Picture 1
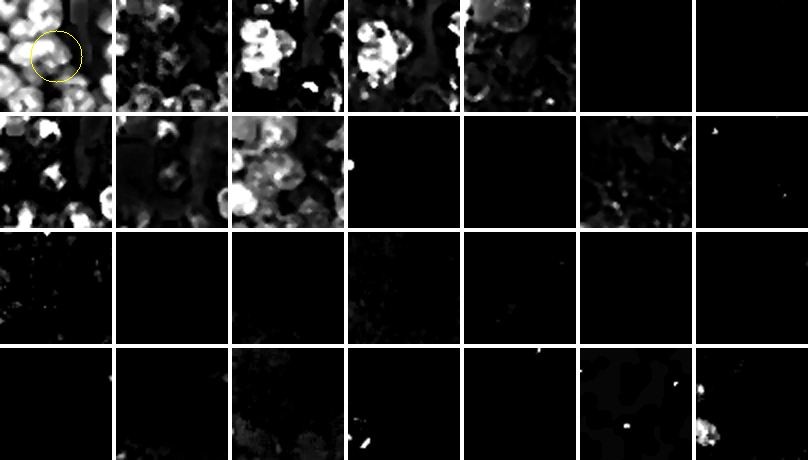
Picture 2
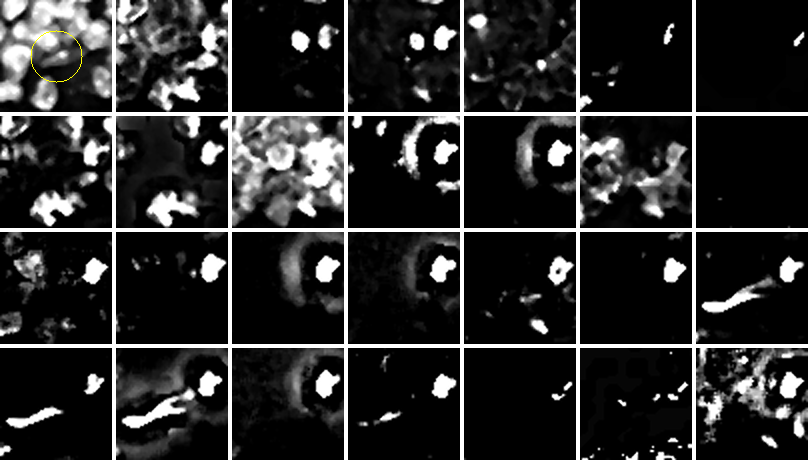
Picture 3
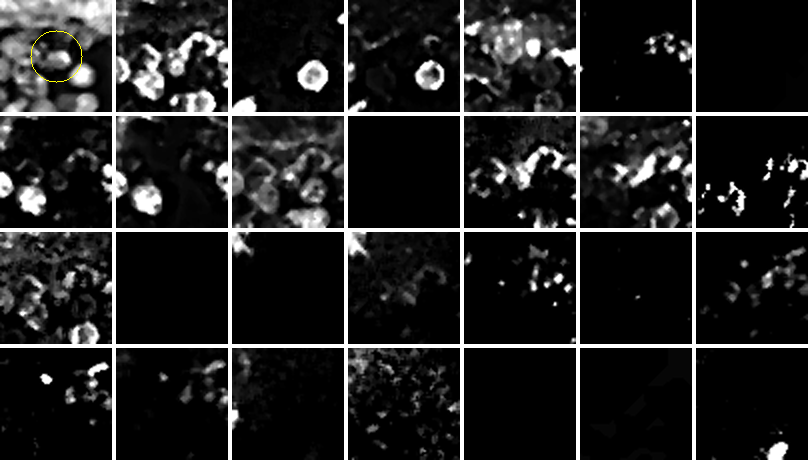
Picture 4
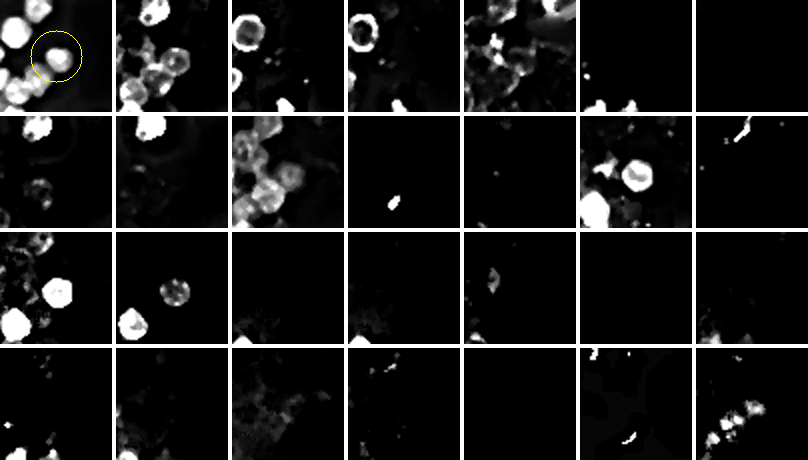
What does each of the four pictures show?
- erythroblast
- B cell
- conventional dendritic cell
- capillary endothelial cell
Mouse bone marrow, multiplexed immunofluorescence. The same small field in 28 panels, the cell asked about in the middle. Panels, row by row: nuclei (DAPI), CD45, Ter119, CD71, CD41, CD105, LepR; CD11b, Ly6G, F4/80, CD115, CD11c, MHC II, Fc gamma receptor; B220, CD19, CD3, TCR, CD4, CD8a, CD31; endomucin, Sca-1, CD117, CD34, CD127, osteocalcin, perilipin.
1: erythroblast
2: capillary endothelial cell
3: conventional dendritic cell
4: B cell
